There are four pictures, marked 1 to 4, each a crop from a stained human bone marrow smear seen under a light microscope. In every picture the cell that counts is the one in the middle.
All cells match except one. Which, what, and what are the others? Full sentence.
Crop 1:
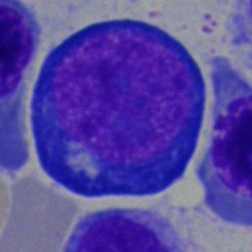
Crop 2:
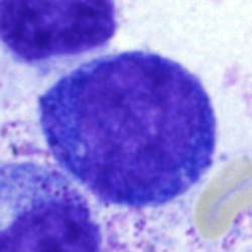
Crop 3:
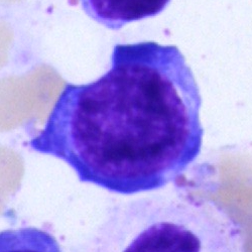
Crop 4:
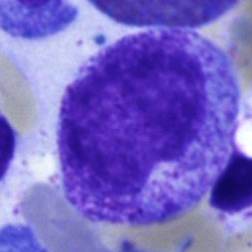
Crop 4 is not like the others: it is a promyelocyte, and they are proerythroblasts.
